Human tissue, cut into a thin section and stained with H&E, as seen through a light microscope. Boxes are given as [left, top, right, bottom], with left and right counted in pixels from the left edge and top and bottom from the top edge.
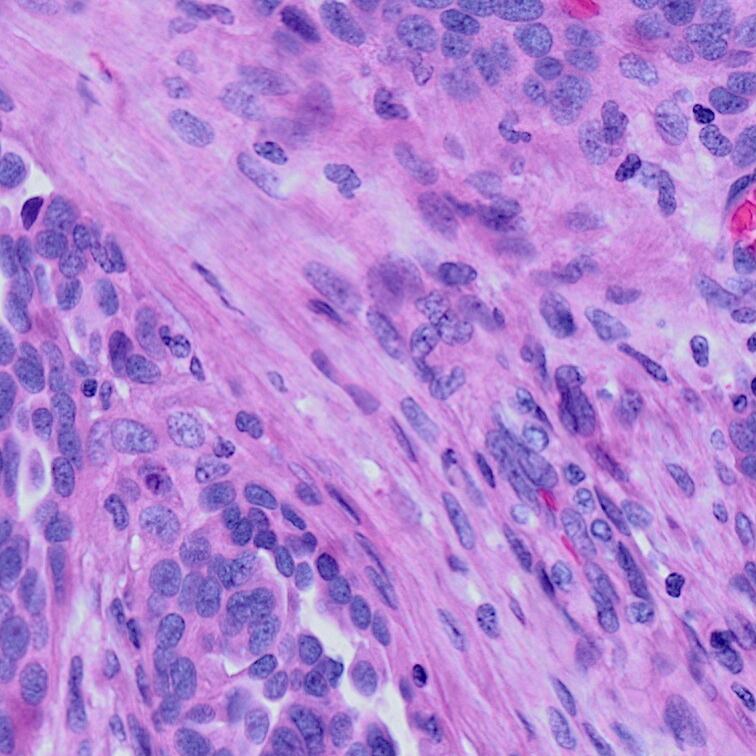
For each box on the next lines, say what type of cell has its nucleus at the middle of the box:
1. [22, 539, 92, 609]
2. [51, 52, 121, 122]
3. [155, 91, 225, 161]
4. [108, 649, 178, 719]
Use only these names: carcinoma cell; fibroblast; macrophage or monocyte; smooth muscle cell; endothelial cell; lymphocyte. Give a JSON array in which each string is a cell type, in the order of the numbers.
["carcinoma cell", "fibroblast", "fibroblast", "fibroblast"]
